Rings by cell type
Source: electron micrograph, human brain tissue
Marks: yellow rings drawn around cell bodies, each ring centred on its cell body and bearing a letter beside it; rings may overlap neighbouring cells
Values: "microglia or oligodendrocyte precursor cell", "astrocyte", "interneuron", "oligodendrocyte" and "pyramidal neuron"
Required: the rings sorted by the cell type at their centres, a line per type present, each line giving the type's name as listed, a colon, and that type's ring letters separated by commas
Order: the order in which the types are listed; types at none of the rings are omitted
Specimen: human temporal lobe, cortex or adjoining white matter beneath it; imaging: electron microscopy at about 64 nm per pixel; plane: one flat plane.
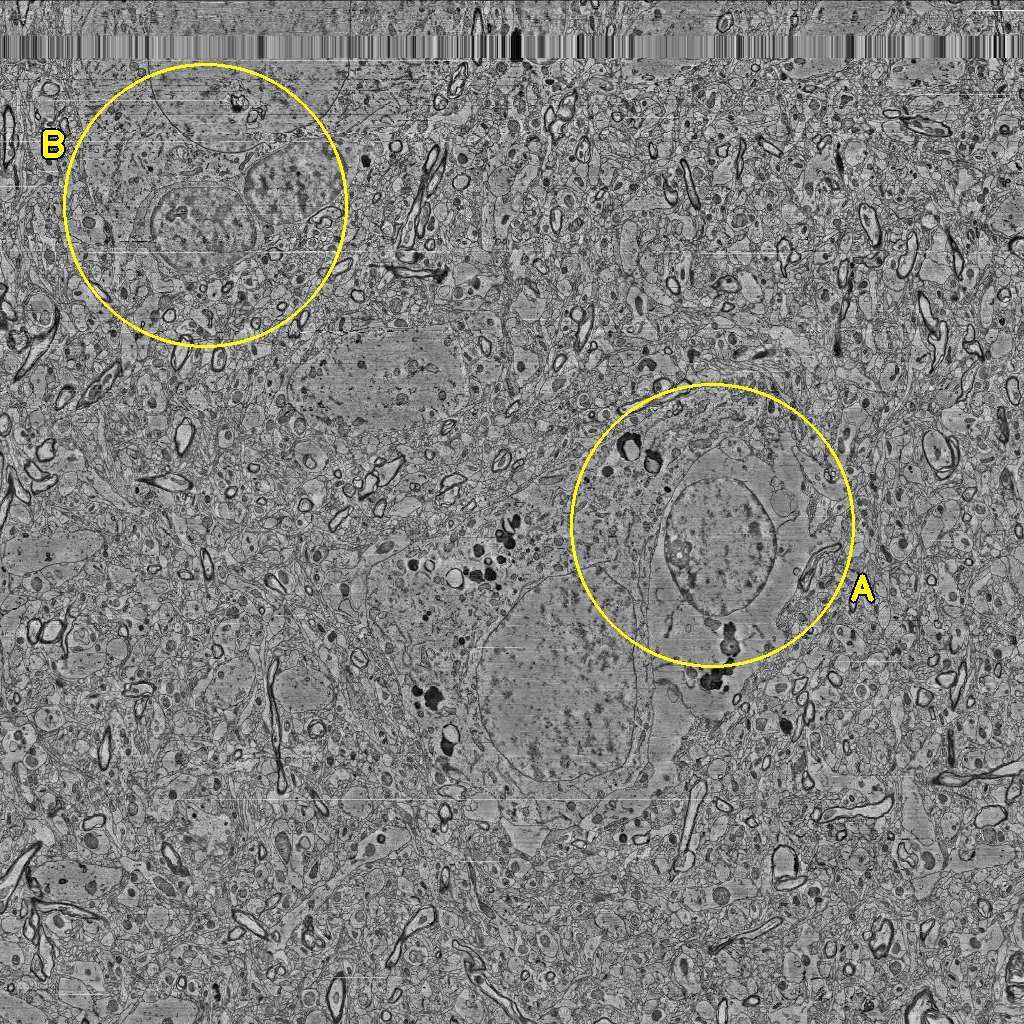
astrocyte: A
oligodendrocyte: B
